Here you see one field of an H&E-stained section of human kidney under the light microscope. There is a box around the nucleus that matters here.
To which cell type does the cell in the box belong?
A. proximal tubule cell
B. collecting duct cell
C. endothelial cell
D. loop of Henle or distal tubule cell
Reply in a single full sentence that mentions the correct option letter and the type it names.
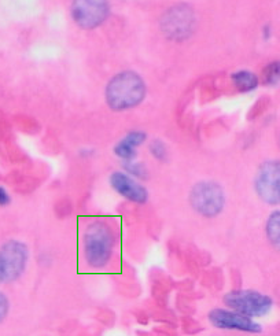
Under option C, the cell in the box is an endothelial cell, which is the correct identification.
